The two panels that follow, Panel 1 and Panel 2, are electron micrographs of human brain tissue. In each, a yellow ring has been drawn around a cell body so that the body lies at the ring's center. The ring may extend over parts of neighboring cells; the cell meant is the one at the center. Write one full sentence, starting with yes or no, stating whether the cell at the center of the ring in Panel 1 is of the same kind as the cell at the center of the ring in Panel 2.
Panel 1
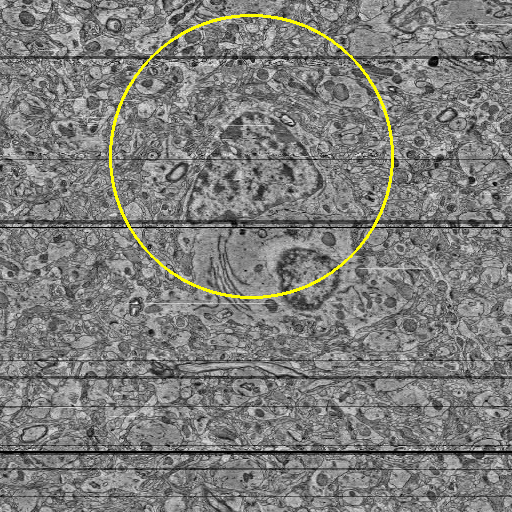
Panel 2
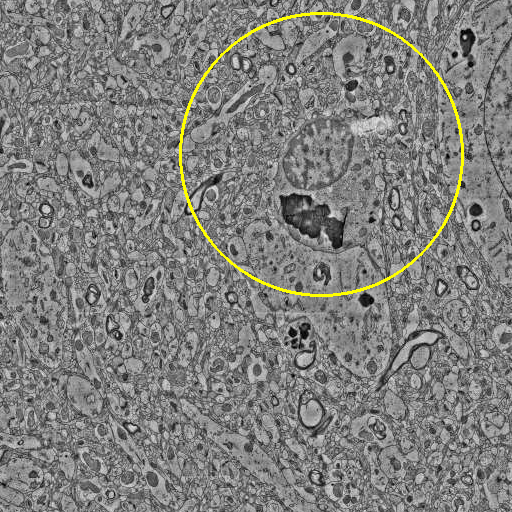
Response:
No, the cells in the two panels are of two kinds.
